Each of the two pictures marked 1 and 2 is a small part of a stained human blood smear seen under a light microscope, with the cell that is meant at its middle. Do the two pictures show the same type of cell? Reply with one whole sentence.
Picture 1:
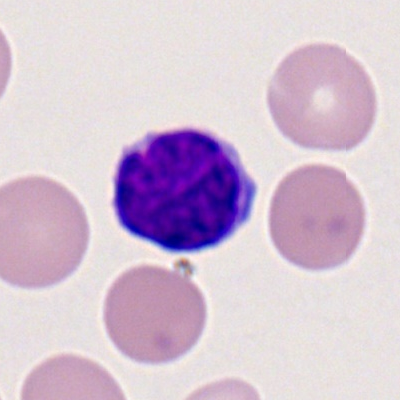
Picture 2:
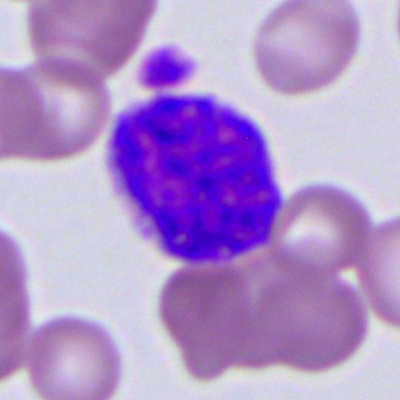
No, picture 1 shows a lymphocyte and picture 2 shows a myeloblast.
